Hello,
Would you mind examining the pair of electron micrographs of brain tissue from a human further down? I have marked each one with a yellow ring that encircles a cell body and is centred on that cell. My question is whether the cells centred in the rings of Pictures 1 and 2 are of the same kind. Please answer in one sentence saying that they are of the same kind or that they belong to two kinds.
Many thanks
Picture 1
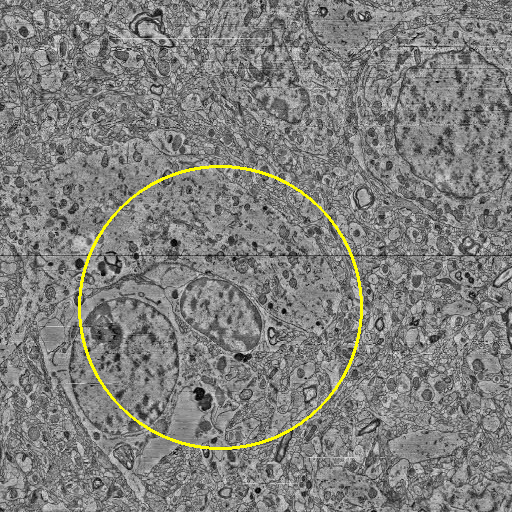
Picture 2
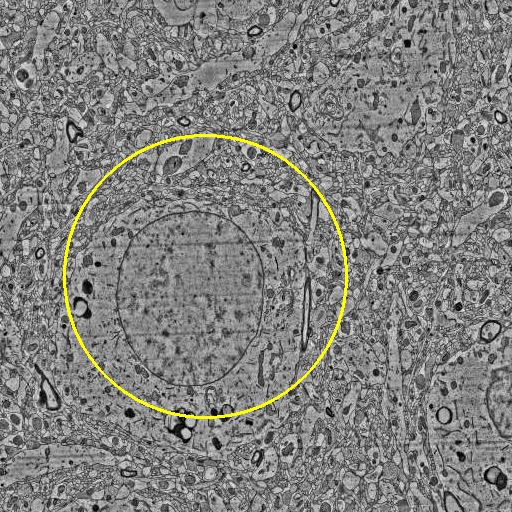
In Pictures 1 and 2, the cells at the heart of the rings belong to two kinds.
